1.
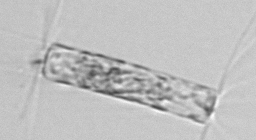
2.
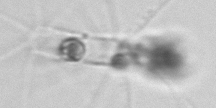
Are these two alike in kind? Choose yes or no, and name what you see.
Yes. Bacteriastrum furcatum.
